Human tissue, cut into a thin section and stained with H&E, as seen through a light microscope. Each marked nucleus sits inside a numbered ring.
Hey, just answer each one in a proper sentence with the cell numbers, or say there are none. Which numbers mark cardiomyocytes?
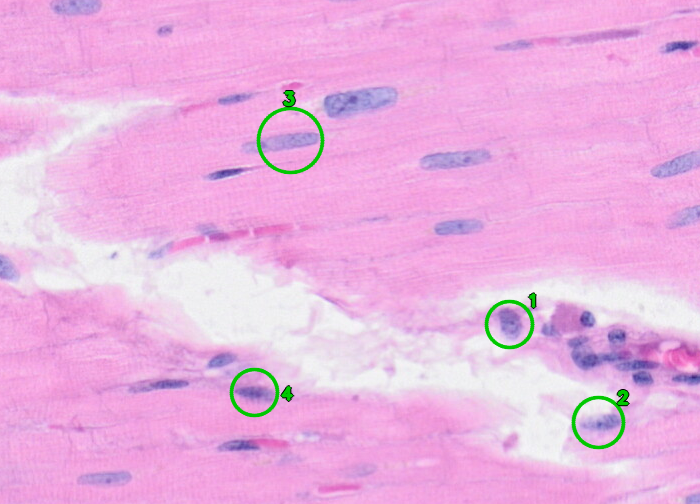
Only the cell carrying number 3 is a cardiomyocyte.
